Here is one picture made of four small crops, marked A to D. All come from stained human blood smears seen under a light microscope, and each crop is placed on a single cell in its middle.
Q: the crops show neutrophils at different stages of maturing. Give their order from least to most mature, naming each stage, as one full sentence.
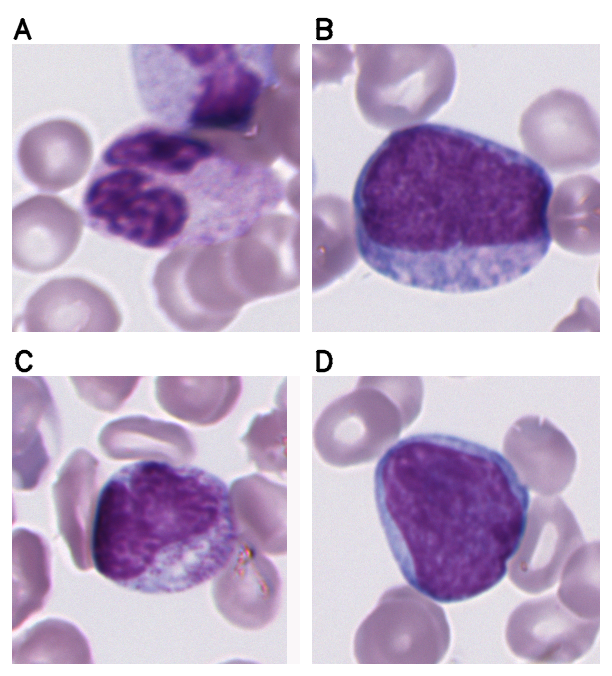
Moving up in maturity, the order goes crop D (a blast), crop B (a promyelocyte), crop C (a metamyelocyte) and crop A (a segmented neutrophil).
